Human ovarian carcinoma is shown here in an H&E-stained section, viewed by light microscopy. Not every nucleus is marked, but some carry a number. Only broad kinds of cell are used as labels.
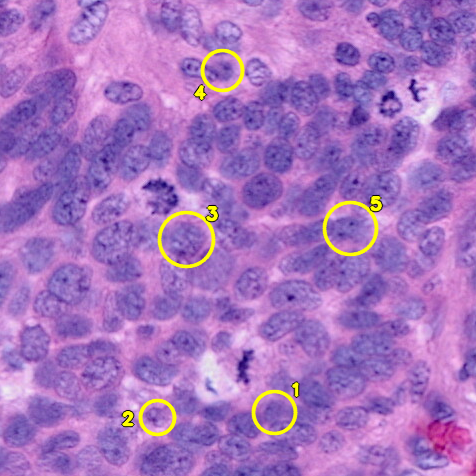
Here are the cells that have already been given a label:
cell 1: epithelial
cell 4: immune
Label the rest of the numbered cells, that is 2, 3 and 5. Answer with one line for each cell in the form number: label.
2: immune
3: epithelial
5: epithelial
